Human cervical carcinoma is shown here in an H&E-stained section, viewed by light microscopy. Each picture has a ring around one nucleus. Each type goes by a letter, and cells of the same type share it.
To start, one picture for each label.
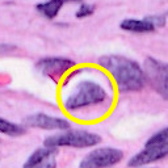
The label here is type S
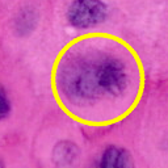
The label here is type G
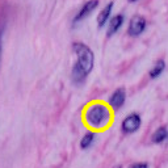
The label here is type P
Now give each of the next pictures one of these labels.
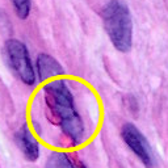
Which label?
type S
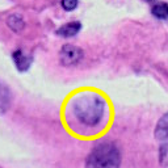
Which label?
type G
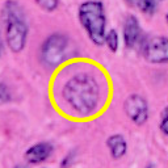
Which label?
type G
